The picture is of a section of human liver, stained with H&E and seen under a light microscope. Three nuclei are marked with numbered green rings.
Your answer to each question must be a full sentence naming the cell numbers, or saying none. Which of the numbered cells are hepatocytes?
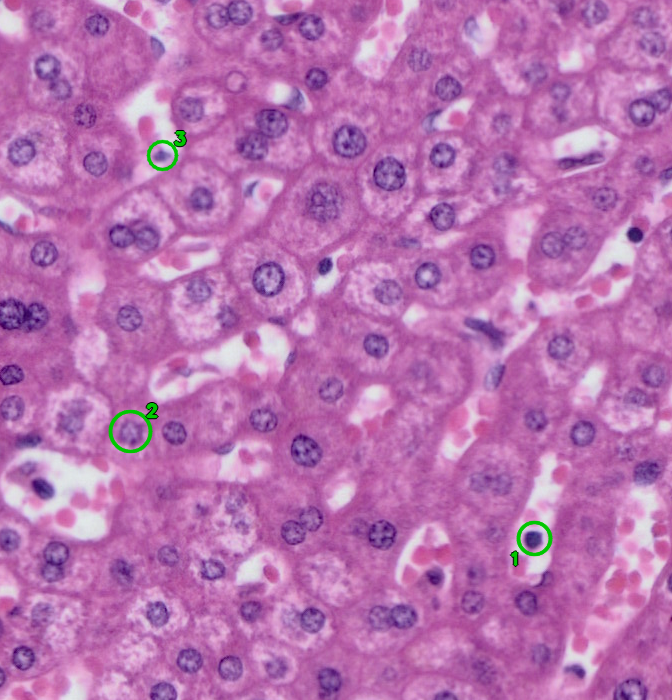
Among the numbered cells, cell 2 alone is a hepatocyte.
